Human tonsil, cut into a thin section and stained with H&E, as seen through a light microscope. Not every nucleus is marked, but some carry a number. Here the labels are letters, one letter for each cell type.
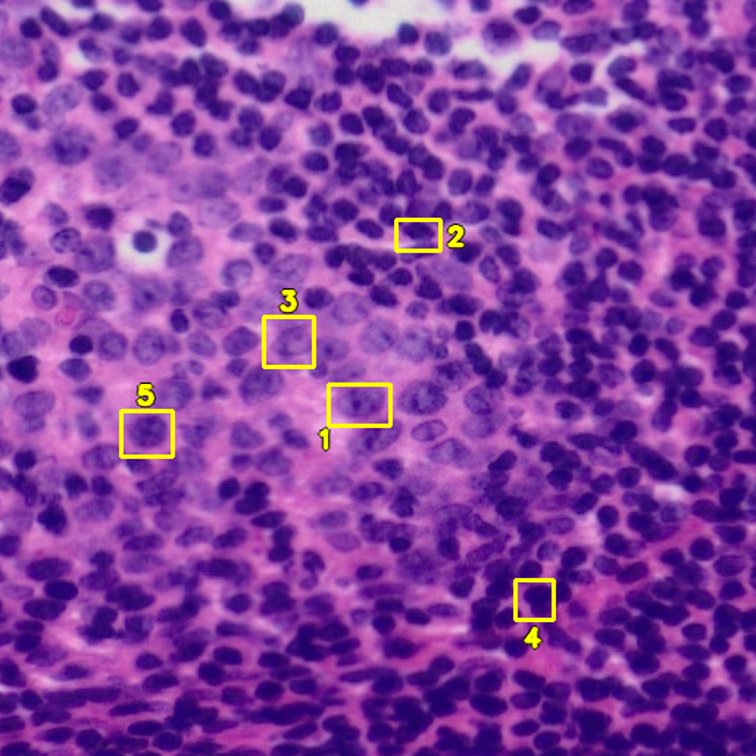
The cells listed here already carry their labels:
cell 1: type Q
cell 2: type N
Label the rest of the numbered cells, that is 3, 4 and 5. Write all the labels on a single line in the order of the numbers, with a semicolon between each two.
type Q; type N; type Q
